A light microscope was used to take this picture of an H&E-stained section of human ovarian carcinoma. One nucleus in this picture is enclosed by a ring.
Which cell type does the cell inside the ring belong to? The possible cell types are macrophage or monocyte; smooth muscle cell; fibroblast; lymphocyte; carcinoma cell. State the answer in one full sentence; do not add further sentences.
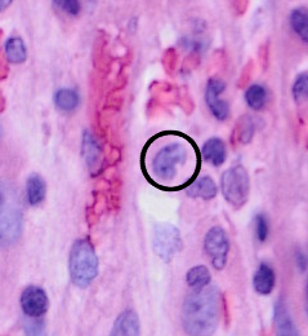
Among the cells in this section, the cell inside the ring is a macrophage or monocyte.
